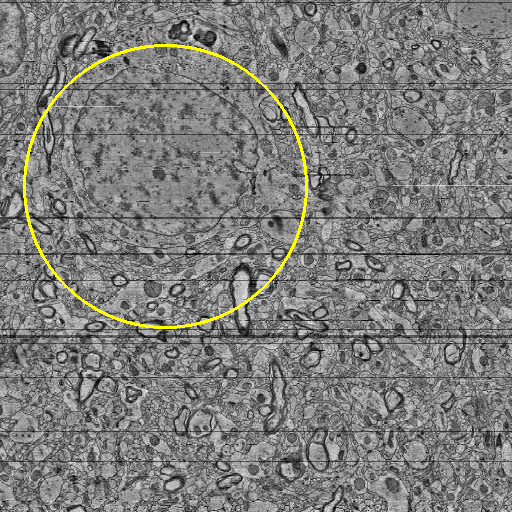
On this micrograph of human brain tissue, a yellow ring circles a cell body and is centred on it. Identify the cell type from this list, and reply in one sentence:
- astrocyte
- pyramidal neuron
The cell at the centre is a pyramidal neuron.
